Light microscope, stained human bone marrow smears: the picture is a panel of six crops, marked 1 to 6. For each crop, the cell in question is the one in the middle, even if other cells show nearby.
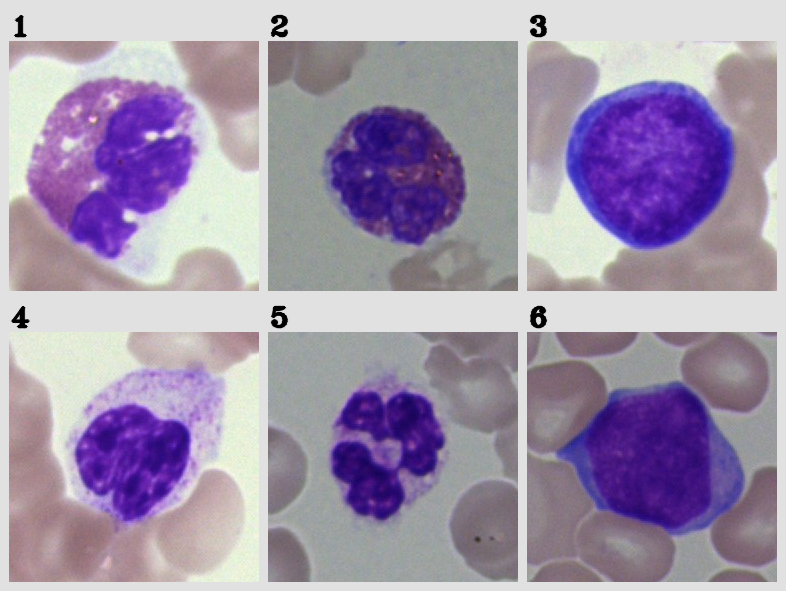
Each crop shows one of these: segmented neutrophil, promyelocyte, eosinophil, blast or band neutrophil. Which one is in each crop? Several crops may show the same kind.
1: eosinophil
2: eosinophil
3: blast
4: segmented neutrophil
5: segmented neutrophil
6: blast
